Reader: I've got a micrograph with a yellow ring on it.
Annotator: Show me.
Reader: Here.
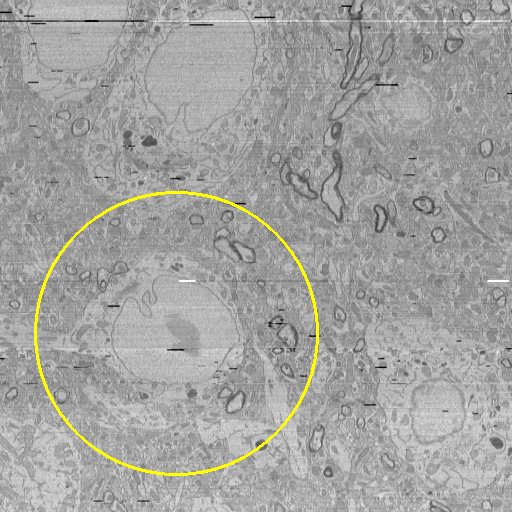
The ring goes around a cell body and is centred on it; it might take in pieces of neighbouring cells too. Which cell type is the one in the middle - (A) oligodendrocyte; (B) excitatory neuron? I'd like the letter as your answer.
B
